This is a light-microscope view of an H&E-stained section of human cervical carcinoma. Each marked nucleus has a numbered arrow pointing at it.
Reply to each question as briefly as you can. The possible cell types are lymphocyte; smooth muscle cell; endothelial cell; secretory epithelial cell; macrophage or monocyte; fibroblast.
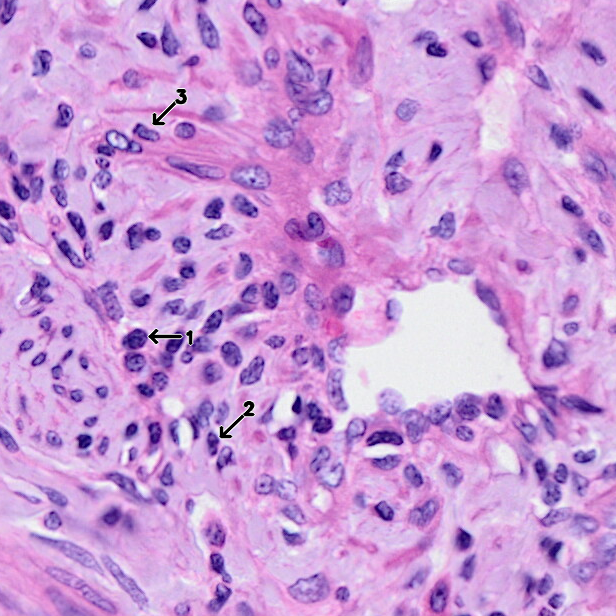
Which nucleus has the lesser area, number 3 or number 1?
3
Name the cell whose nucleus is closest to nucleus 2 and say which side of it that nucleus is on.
a macrophage or monocyte, below and to the right of nucleus 2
